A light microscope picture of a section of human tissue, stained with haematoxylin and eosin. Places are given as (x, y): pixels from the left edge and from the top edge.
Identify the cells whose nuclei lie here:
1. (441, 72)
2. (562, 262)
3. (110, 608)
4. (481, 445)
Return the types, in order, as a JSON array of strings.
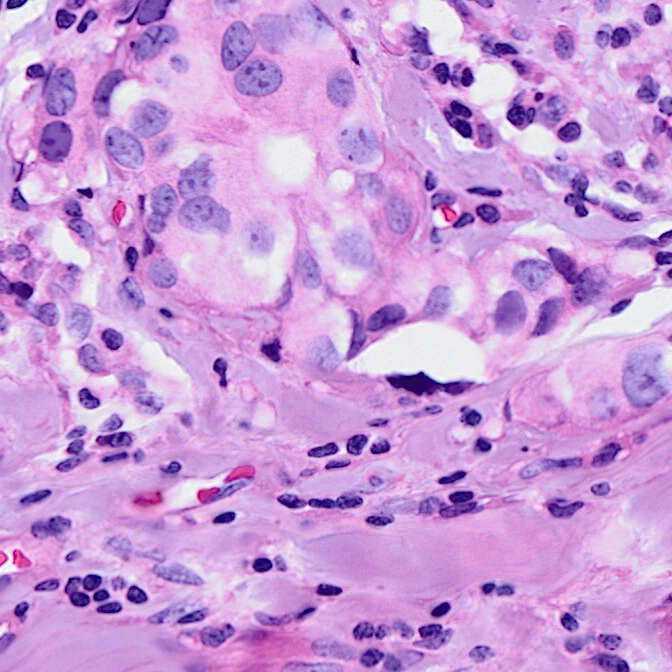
["lymphocyte", "carcinoma cell", "lymphocyte", "lymphocyte"]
